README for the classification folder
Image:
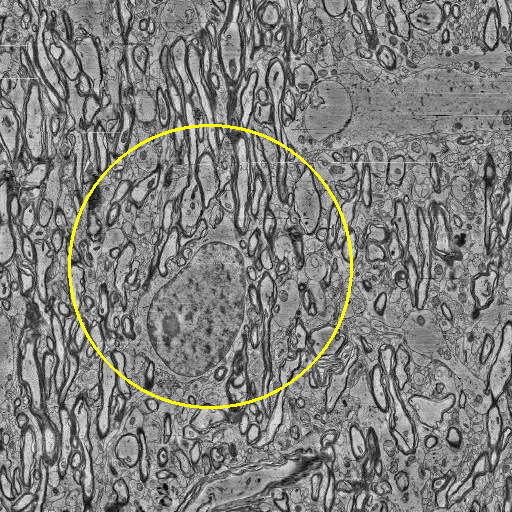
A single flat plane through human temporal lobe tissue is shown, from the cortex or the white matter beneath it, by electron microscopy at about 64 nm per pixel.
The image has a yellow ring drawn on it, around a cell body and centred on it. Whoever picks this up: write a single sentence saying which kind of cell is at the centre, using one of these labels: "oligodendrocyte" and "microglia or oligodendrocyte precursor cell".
This cell body is that of a microglial cell or oligodendrocyte precursor cell.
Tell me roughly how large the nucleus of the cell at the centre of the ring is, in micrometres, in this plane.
In this plane the nucleus is about 9 micrometres by 6.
